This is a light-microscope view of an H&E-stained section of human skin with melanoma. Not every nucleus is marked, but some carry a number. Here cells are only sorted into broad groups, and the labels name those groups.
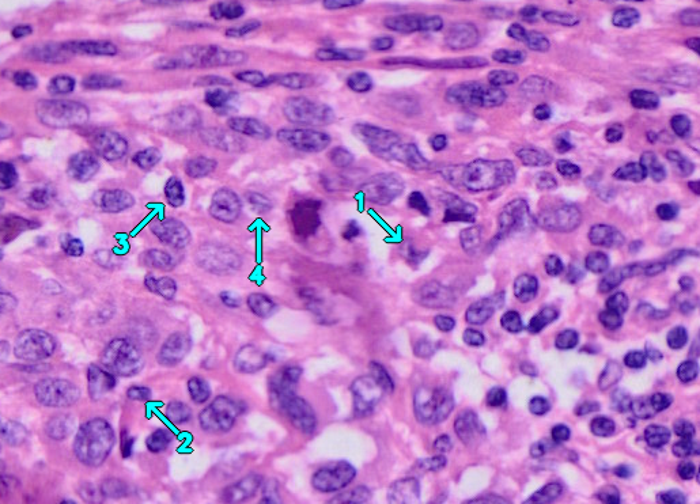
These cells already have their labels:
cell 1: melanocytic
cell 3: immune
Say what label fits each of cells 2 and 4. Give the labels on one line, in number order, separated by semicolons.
immune; melanocytic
